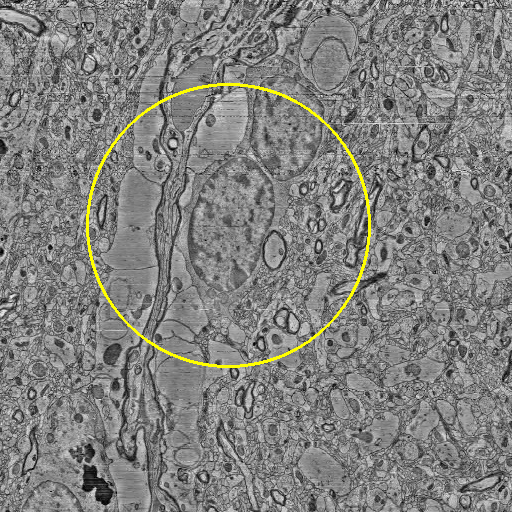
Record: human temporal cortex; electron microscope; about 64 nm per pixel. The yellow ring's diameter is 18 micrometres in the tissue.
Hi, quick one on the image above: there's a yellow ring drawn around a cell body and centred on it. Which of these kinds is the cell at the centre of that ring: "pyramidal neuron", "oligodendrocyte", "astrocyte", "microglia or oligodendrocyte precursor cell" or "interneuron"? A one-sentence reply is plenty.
The cell at the centre of the ring is an oligodendrocyte.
